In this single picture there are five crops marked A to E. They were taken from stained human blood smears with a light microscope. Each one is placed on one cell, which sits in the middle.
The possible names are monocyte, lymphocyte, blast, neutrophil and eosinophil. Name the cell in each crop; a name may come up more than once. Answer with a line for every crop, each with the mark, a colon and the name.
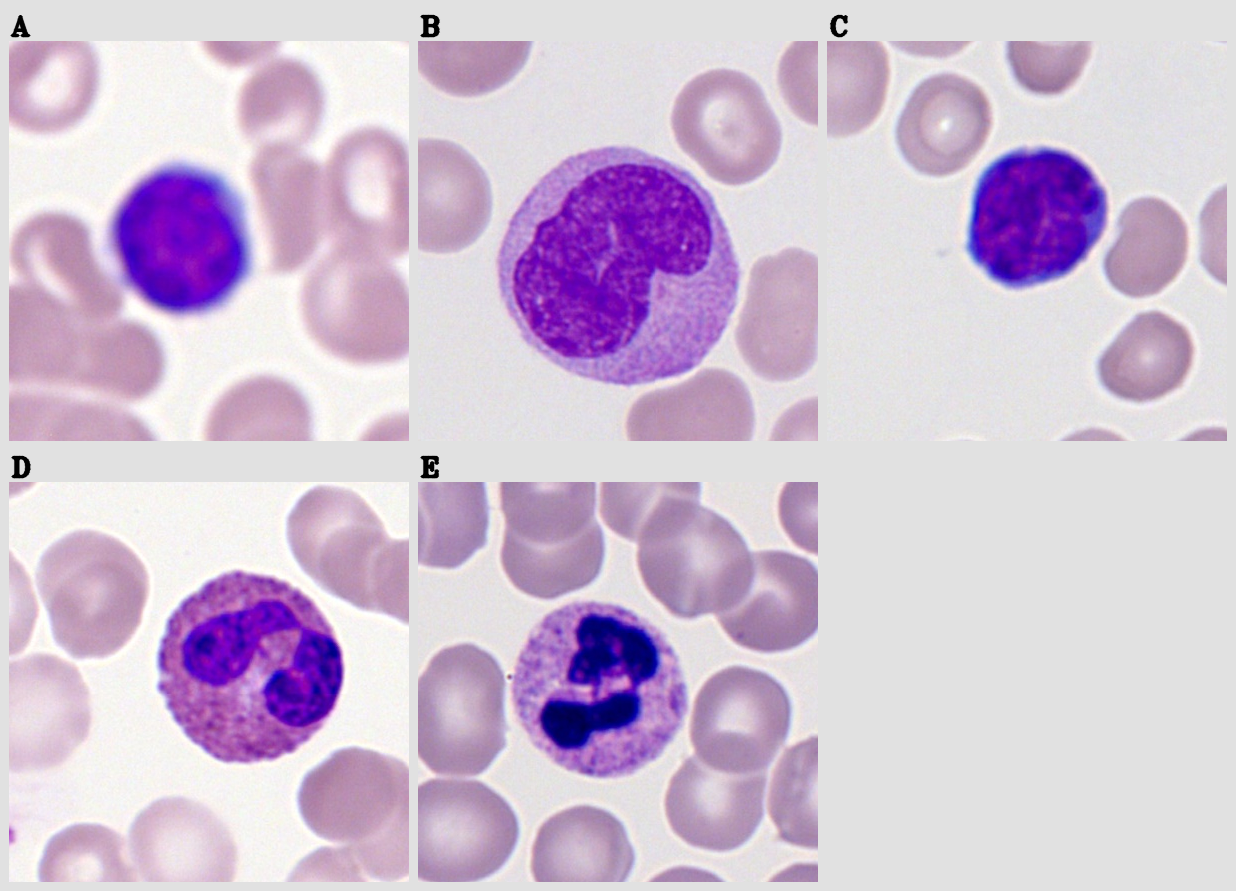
A: lymphocyte
B: monocyte
C: lymphocyte
D: eosinophil
E: neutrophil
